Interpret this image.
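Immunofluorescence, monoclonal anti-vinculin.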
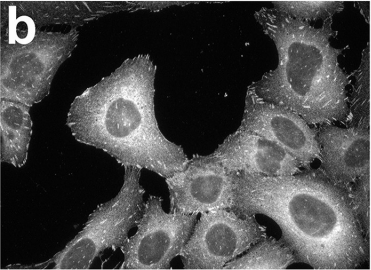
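Flat spread cultured cells are shown with grey staining of the cytoplasm and bright spots at their edges. Along the cell margins lie many short, elongated, dash-like focal adhesions, each pointing roughly inward from the edge. The cytoplasm shows a diffuse finer staining that is brighter around the nucleus. The nuclei are seen as rounded darker areas with a faintly stained interior in the middle of each cell. The cells lie close together in a loose group, with dark gaps between some of them.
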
